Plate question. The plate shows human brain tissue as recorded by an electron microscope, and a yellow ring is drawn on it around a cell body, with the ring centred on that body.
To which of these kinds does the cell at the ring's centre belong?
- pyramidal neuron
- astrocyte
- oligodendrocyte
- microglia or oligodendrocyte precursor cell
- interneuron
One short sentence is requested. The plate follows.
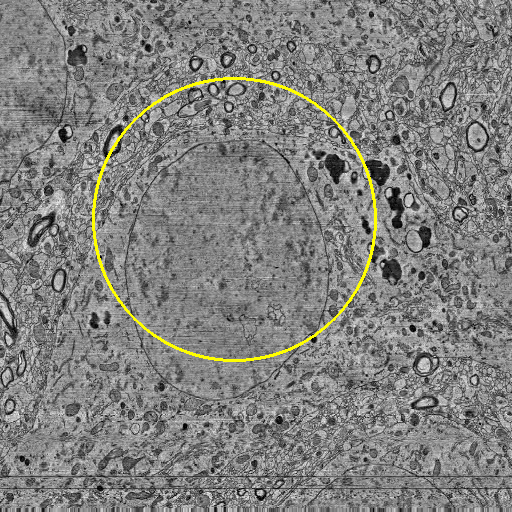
The cell at the ring's centre is a pyramidal neuron.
